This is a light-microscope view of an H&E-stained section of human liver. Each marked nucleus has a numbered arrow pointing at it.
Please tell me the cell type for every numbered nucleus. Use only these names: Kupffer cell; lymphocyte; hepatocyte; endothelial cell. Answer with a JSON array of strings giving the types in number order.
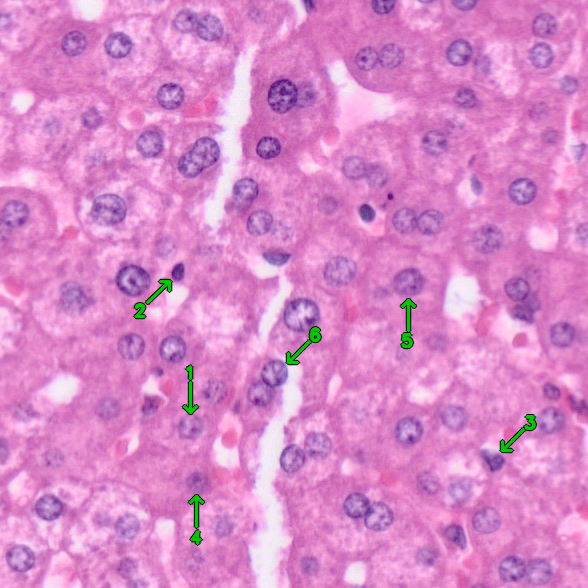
["hepatocyte", "lymphocyte", "endothelial cell", "hepatocyte", "hepatocyte", "hepatocyte"]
